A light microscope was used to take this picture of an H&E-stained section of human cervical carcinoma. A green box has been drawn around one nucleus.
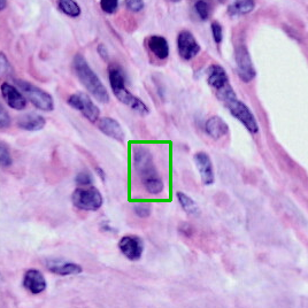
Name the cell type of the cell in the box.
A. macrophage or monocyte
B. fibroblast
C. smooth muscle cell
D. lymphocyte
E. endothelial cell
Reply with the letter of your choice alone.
A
